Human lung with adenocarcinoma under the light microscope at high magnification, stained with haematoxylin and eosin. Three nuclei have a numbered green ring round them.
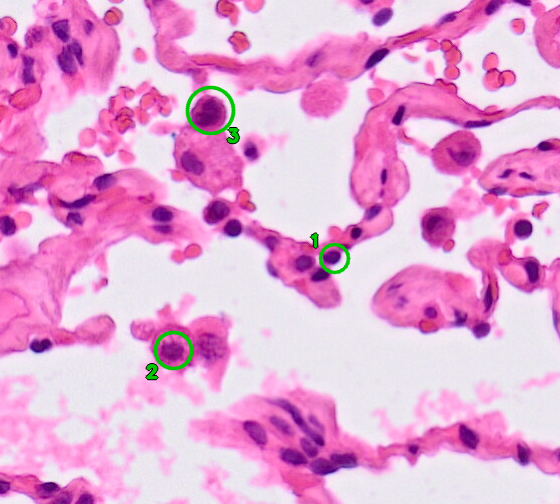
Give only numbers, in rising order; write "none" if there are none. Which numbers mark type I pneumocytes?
1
